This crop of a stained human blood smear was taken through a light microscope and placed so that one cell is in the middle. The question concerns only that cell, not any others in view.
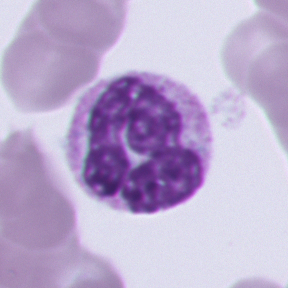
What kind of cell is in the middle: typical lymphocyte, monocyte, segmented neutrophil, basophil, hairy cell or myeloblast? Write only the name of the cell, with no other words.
segmented neutrophil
